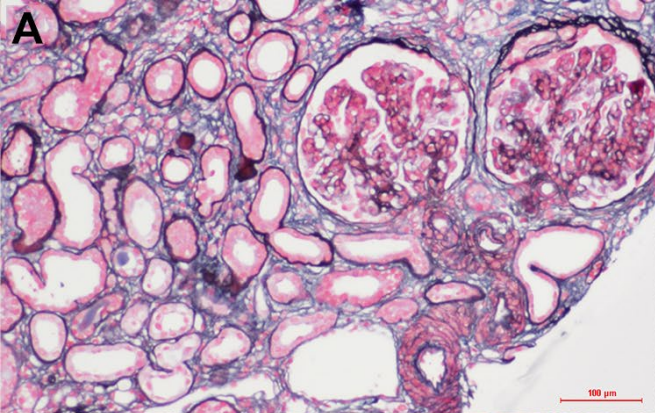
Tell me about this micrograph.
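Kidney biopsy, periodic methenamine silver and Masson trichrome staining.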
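Two glomeruli sit among renal tubules, their tufts enlarged, lobulated and crowded with nuclei so that many capillary lumina are hard to see. Bowman's capsules and tubular basement membranes are outlined by black silver-stained lines. The surrounding tubules are cut in many planes, some with wide lumina, and the interstitium between them is bluish. An artery with a thick, layered wall lies near the lower edge. The crowded cellularity inside the capillary loops fits an endocapillary proliferative glomerulonephritis.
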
